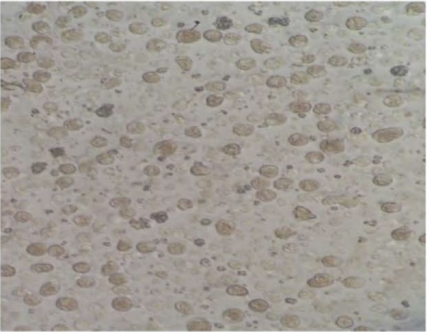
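The cells are round to oval, varying somewhat in size, and have no processes or extensions. Their cytoplasm has a granular, textured look, and a few cells appear darker than the rest. Fine small particles are scattered in the background between the cells.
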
